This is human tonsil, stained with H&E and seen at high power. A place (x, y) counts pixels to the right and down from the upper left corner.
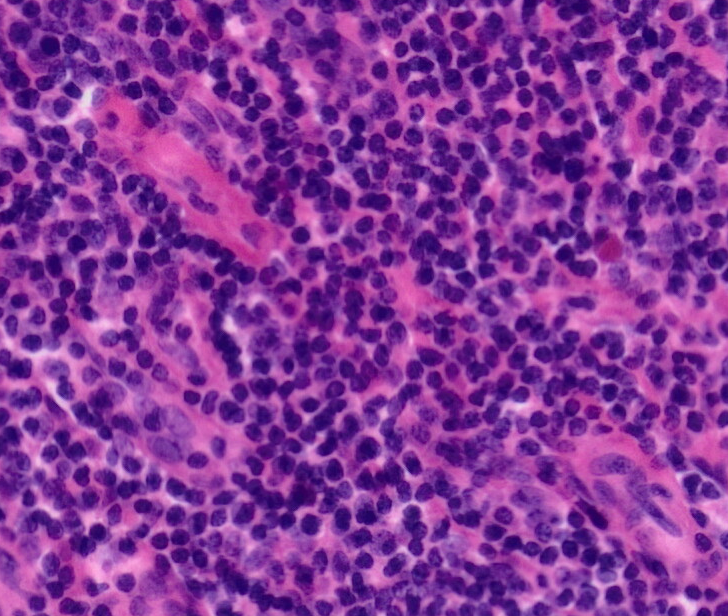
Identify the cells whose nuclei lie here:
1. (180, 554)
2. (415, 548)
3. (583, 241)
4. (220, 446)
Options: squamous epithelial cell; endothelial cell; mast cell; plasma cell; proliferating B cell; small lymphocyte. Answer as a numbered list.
1. small lymphocyte
2. small lymphocyte
3. small lymphocyte
4. endothelial cell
